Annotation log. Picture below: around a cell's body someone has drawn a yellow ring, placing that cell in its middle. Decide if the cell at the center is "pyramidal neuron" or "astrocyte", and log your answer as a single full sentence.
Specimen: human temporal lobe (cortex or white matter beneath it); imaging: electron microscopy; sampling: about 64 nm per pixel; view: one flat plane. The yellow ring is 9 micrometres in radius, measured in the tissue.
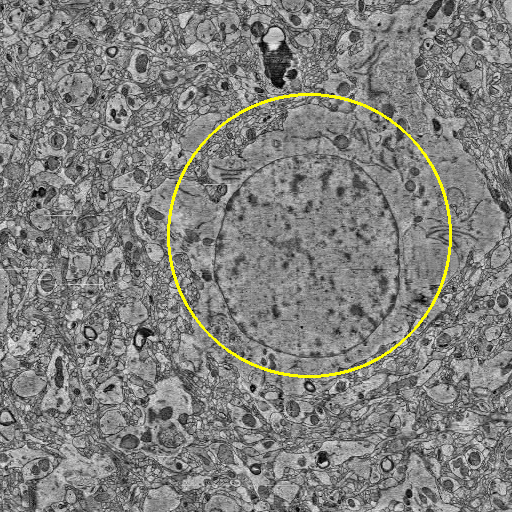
My entry records an astrocyte as the cell sitting at the center of the yellow ring.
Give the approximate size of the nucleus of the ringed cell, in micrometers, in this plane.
Roughly 13 micrometers across, in this plane.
